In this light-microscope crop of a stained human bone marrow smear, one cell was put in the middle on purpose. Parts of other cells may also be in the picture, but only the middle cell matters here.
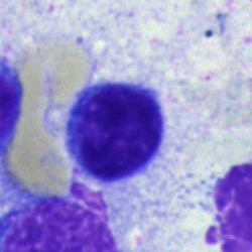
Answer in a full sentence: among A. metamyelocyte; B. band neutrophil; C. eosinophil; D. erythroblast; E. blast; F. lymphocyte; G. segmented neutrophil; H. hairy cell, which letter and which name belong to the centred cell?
The cell placed in the middle is a lymphocyte; option F is correct.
